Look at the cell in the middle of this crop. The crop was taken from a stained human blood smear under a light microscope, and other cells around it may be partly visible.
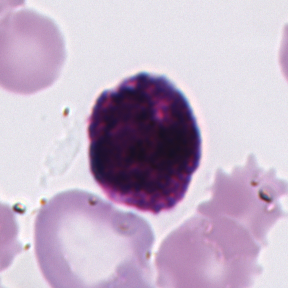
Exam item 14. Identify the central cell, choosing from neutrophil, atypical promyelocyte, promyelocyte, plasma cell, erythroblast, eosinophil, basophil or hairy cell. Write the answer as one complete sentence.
What the crop centres on is a basophil.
